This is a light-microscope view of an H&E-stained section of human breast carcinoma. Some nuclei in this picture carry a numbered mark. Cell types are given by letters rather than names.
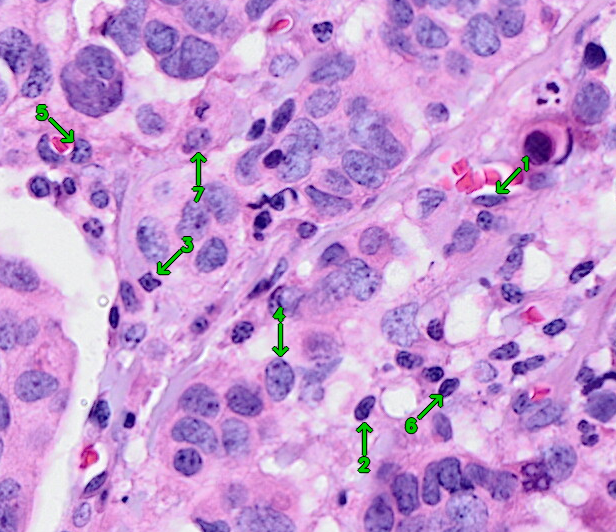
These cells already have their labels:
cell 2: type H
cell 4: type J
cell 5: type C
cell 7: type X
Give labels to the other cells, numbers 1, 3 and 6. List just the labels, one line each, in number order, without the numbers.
type C
type H
type H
